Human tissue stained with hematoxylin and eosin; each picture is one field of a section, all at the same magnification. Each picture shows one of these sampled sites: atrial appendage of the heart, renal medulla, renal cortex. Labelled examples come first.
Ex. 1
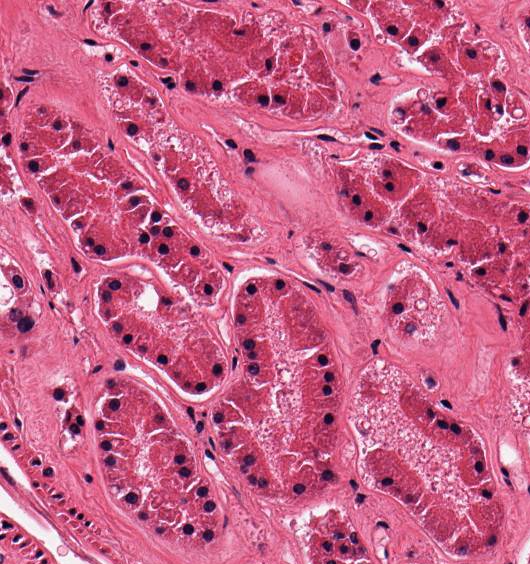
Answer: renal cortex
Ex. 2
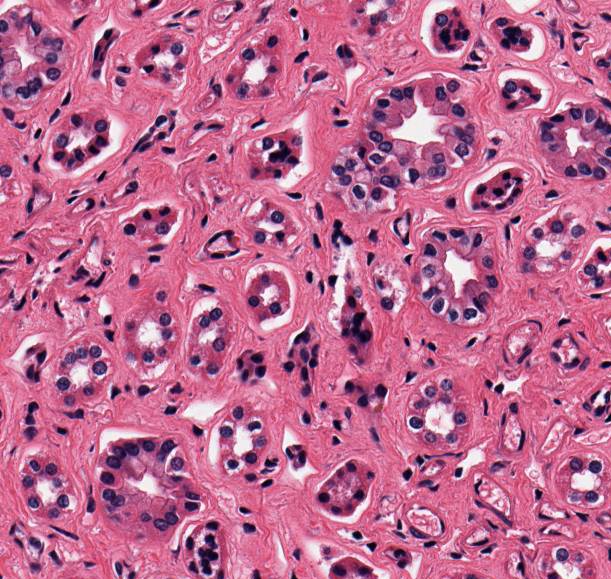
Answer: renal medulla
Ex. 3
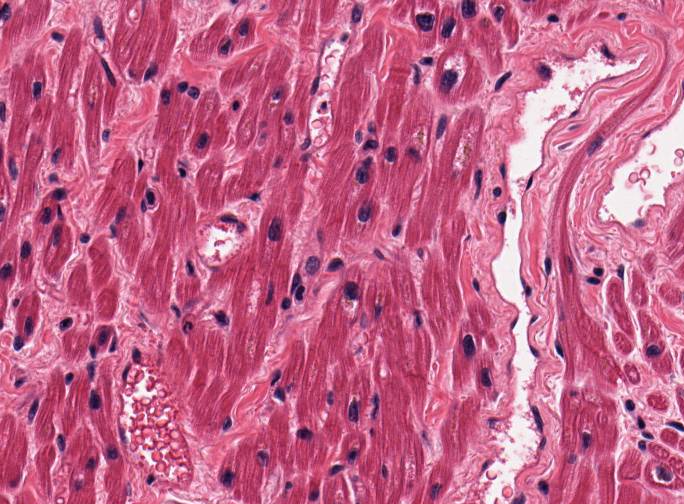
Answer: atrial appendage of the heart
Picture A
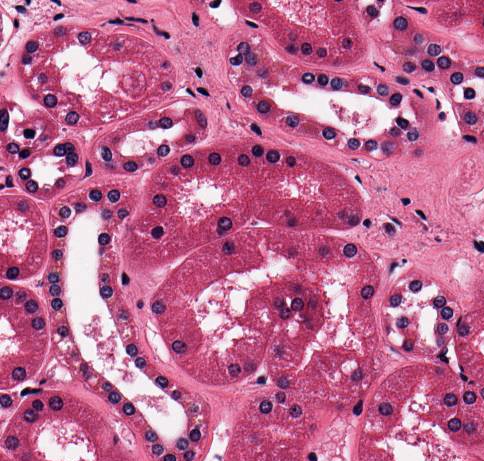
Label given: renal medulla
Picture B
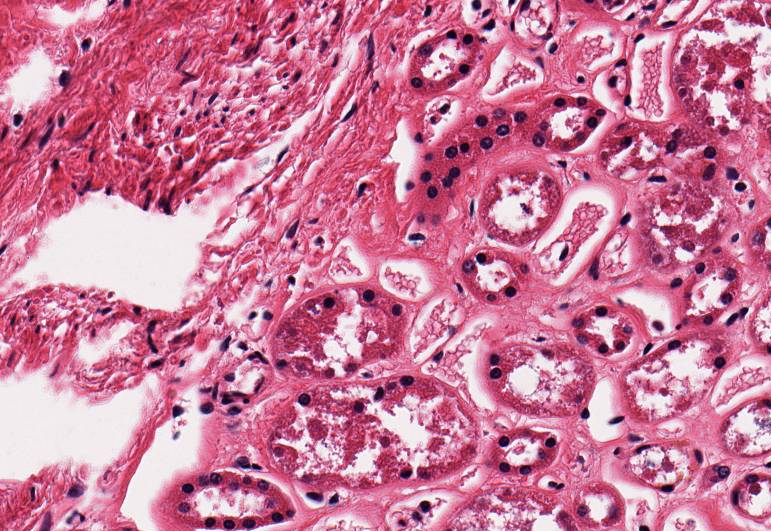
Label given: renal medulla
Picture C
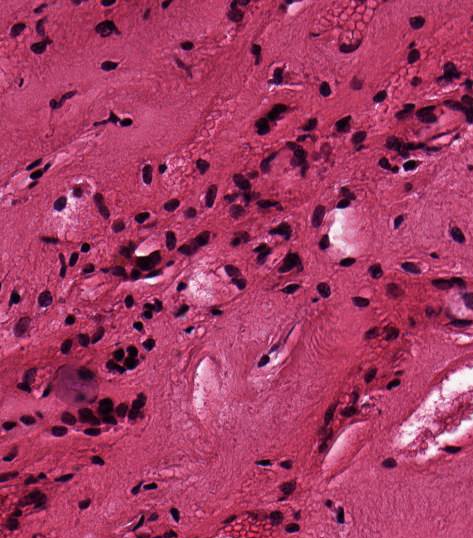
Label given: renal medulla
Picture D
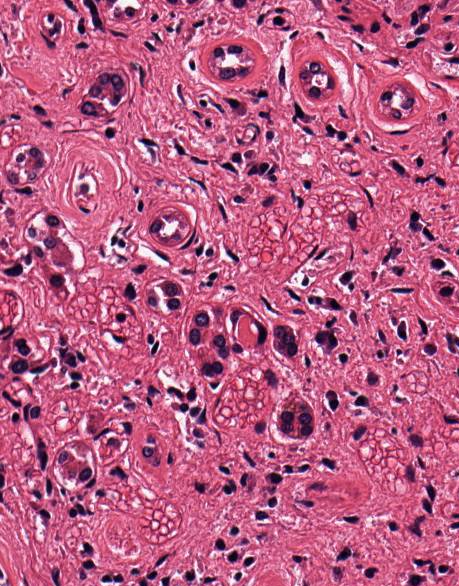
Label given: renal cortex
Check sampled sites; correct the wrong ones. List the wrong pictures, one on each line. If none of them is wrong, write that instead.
All labels are correct.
